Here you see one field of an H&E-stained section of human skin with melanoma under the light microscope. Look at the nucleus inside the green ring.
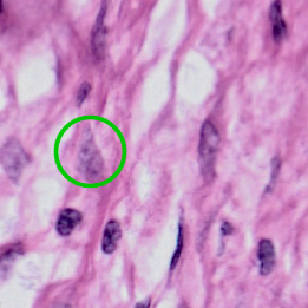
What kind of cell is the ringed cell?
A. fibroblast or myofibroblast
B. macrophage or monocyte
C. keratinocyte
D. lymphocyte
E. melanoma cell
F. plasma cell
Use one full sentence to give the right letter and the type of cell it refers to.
What option A states, that the ringed cell is a fibroblast or myofibroblast, is correct.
